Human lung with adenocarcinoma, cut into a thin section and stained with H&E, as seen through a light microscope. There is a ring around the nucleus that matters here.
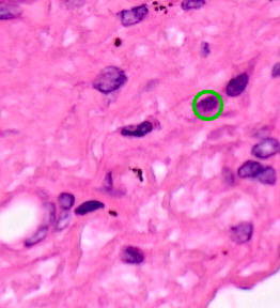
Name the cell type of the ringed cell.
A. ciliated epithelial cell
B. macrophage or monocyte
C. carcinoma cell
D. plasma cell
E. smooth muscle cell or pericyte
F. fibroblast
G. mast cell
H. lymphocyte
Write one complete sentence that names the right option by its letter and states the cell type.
The accurate option is D, with the ringed cell being a plasma cell.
